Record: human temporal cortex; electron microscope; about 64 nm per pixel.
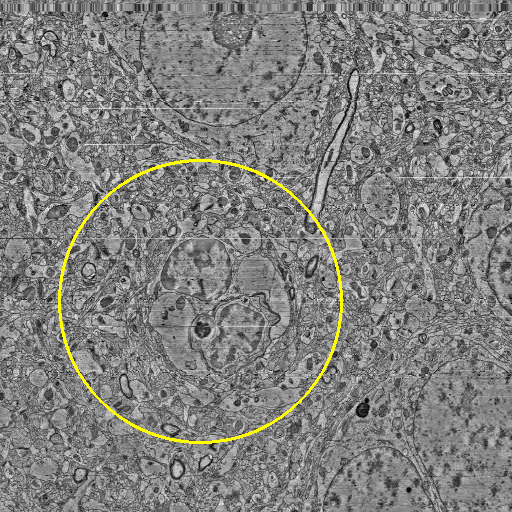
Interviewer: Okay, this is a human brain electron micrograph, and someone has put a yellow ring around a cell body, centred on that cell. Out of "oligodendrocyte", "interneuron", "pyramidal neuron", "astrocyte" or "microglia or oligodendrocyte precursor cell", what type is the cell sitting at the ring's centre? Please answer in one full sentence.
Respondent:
The cell at the centre of the yellow ring in this picture is a microglial cell or oligodendrocyte precursor cell.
